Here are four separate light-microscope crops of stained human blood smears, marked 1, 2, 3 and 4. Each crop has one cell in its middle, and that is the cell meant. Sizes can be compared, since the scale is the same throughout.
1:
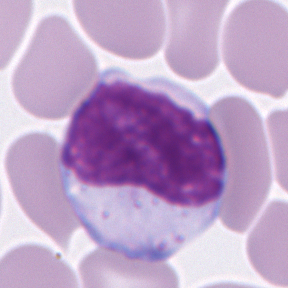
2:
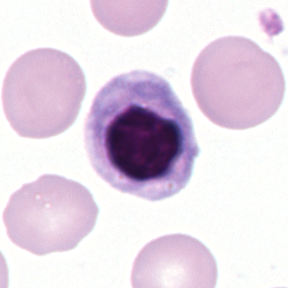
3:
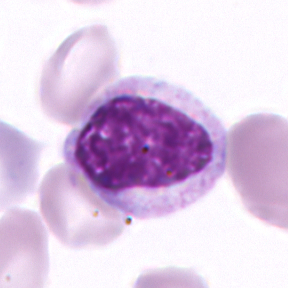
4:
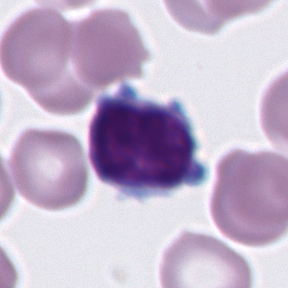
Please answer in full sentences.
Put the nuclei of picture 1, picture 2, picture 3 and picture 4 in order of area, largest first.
Going down, they run 1, 3, 4, 2.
